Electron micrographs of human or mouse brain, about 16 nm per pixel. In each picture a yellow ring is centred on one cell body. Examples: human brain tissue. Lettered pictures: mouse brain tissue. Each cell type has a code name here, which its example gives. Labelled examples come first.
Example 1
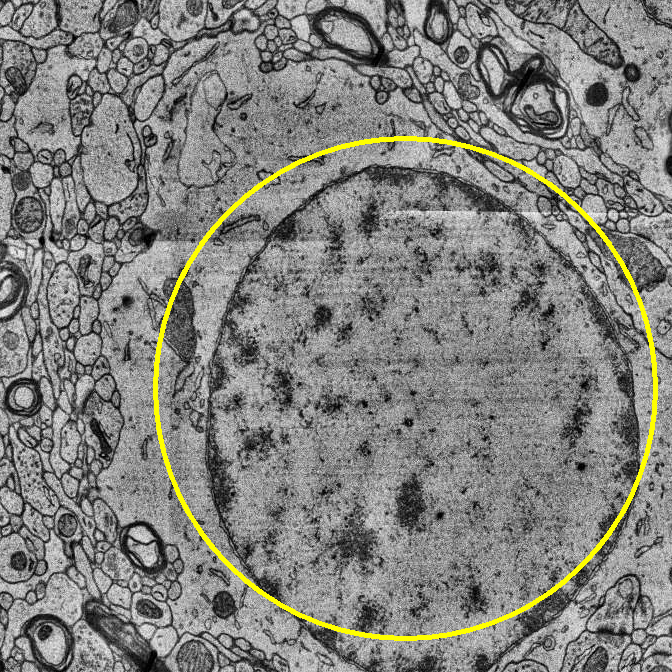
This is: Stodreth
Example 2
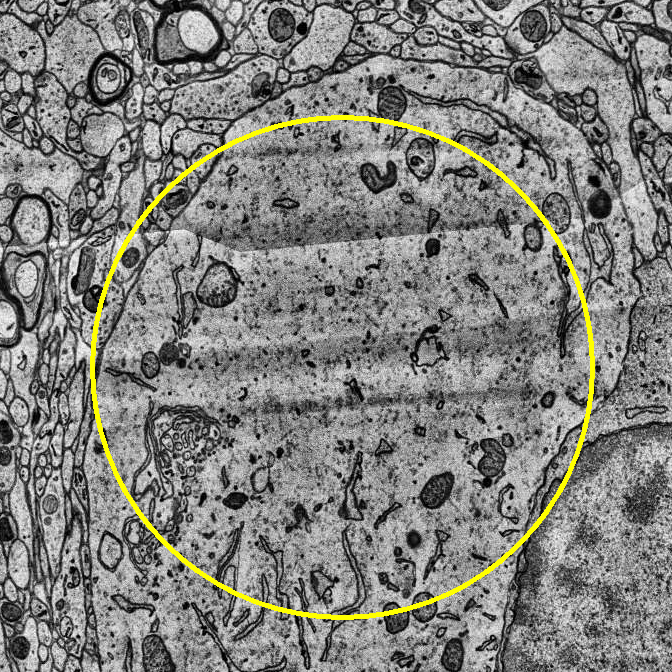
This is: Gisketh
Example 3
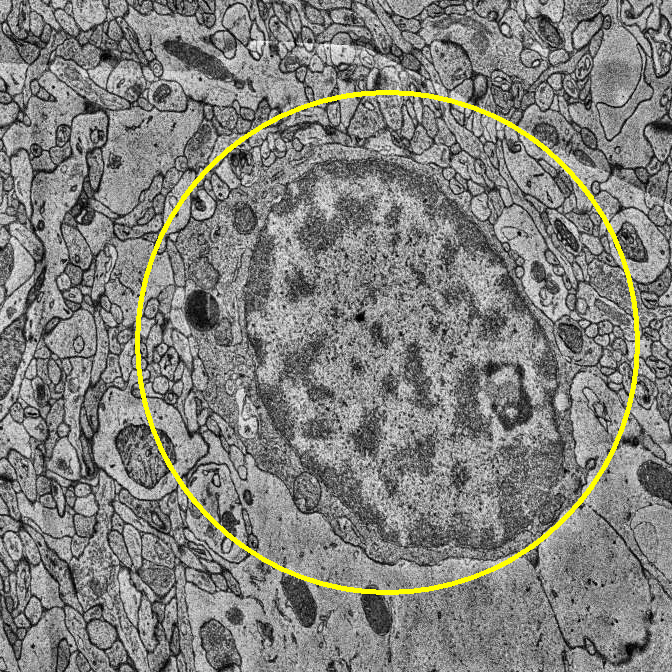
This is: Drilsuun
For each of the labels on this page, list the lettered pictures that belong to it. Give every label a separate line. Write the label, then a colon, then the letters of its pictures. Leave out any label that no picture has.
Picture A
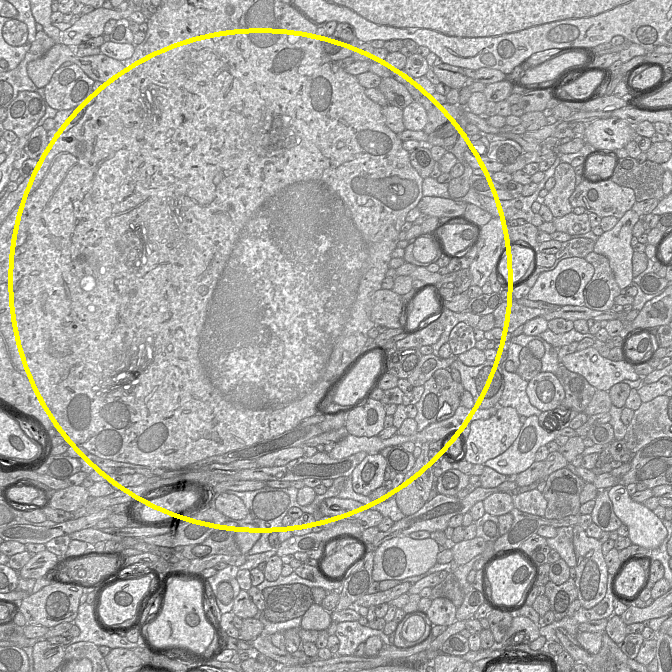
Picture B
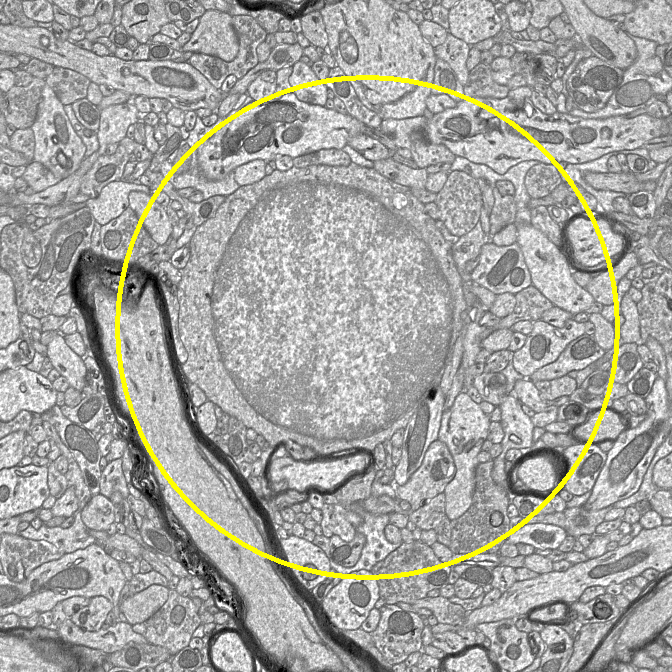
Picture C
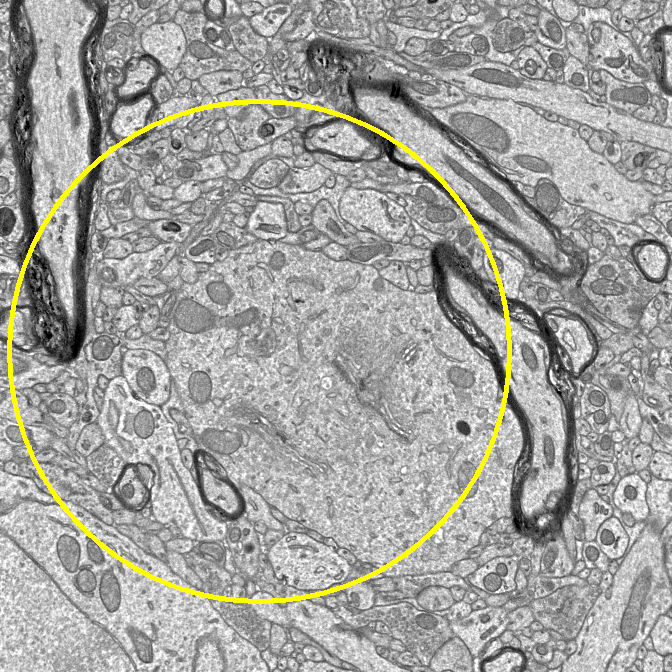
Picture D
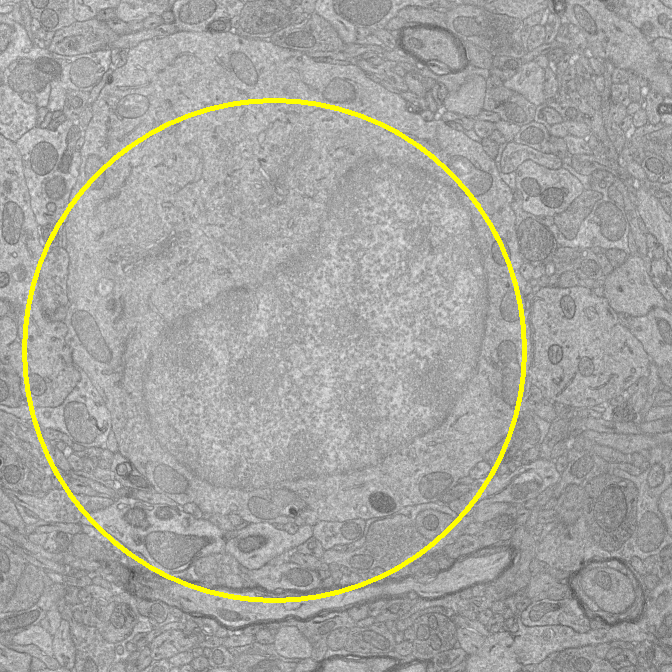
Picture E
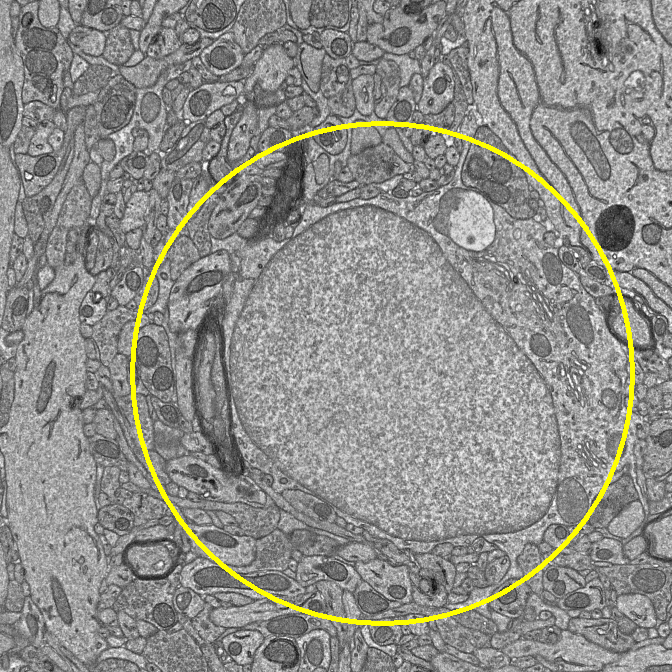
Stodreth: E
Drilsuun: A, B, C, D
